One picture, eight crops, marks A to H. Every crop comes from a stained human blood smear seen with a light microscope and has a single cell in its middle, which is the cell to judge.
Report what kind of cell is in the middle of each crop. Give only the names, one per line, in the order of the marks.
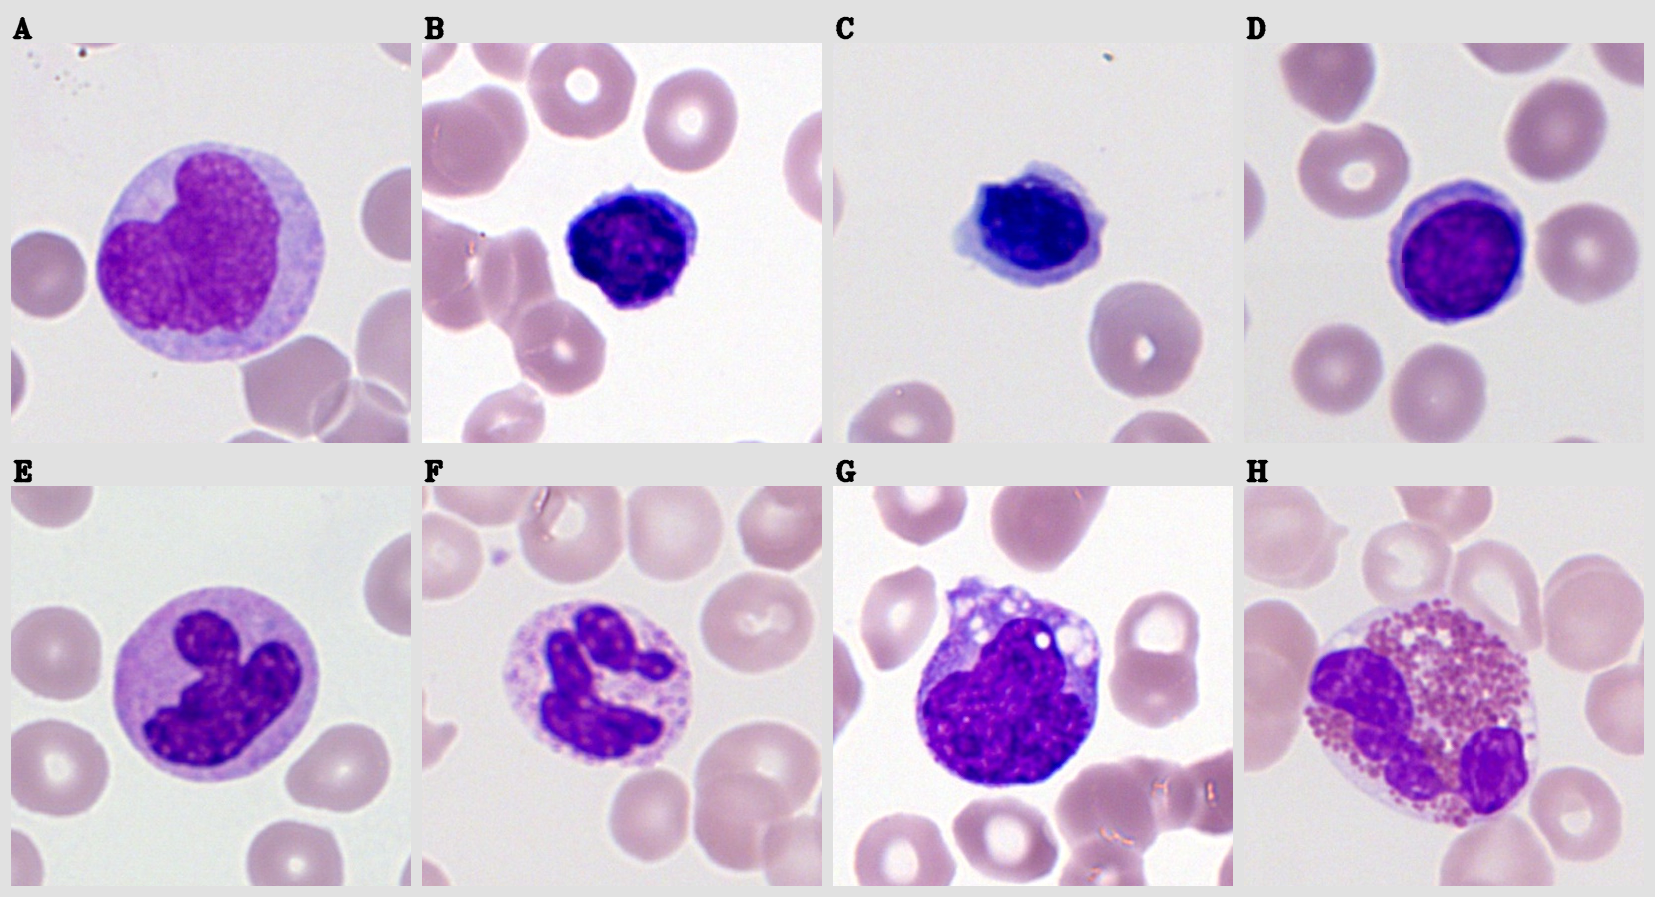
monocyte
lymphocyte
erythroblast
lymphocyte
monocyte
segmented neutrophil
monocyte
eosinophil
